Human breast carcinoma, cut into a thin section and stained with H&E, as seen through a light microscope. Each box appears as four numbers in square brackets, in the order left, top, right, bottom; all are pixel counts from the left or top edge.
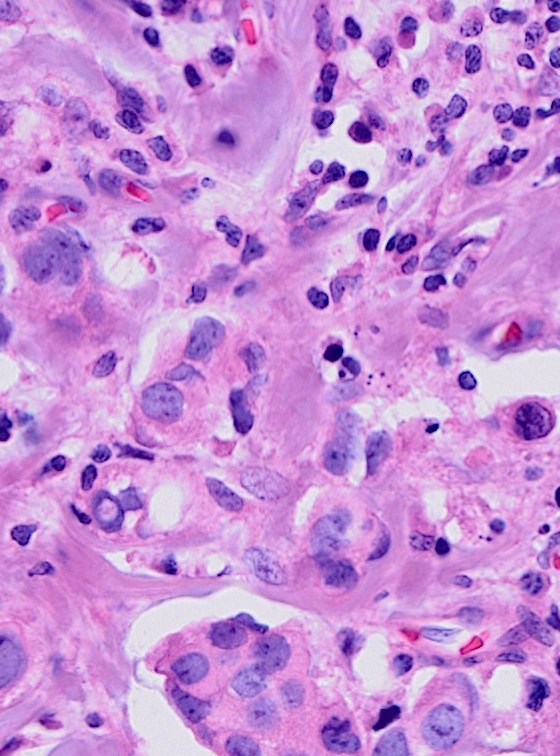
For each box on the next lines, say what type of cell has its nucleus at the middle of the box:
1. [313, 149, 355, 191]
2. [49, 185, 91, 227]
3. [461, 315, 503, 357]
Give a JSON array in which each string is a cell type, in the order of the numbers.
["lymphocyte", "endothelial cell", "endothelial cell"]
